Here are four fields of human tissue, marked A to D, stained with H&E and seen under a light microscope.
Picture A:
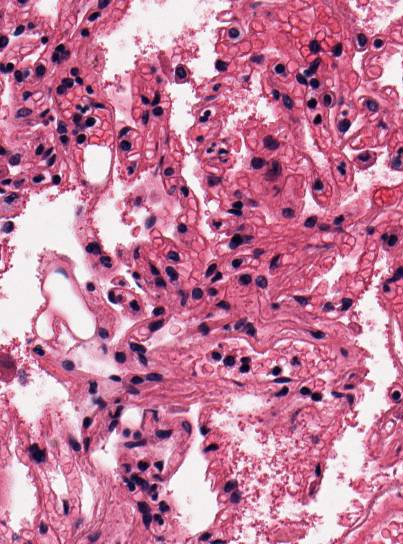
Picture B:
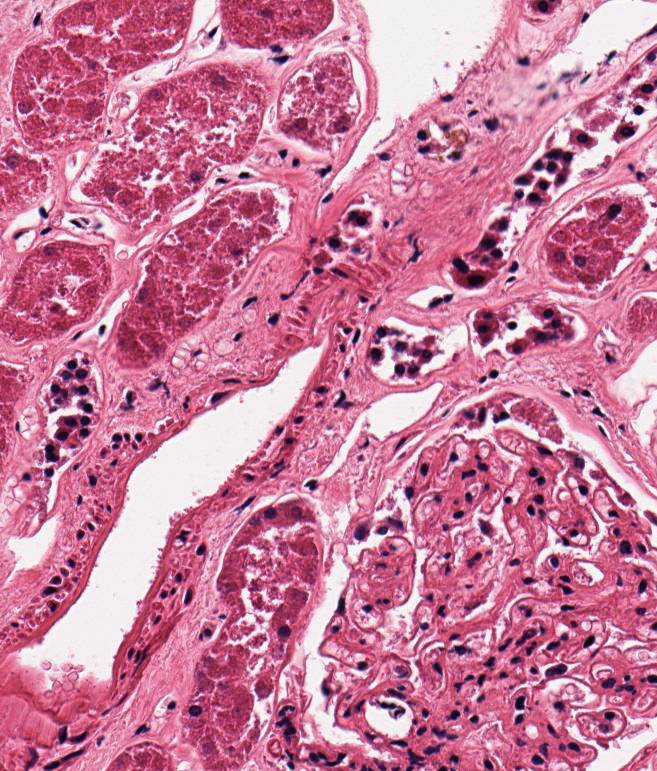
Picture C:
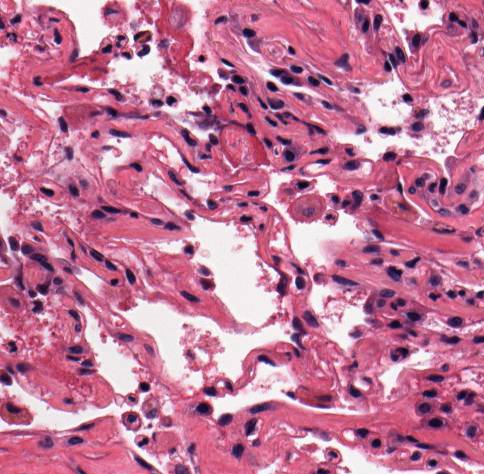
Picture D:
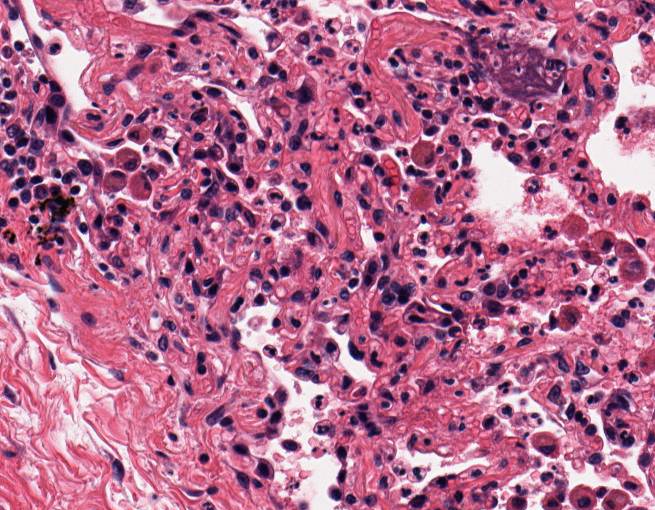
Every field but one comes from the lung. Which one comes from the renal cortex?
B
